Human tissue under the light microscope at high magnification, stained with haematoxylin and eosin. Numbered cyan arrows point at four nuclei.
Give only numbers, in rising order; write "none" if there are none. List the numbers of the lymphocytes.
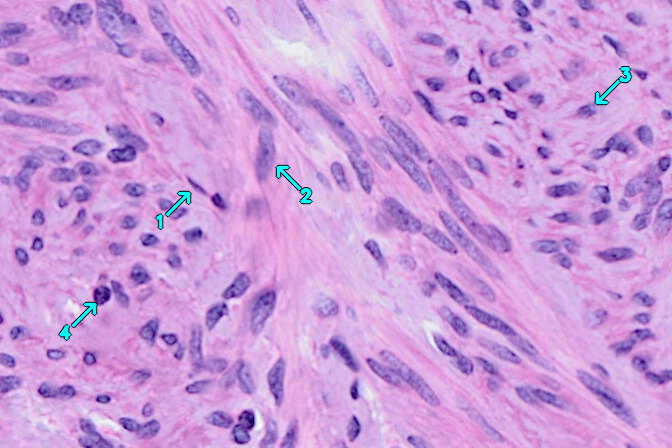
4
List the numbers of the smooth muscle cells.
1, 3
